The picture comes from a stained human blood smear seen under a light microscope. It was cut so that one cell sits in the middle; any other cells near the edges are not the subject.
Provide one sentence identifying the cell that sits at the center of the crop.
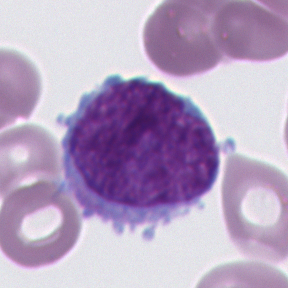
For this crop, the cell in the middle is an atypical promyelocyte.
